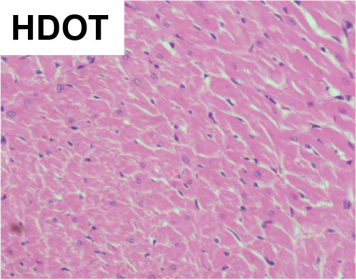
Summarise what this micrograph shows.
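This is heart muscle made of cardiac myocytes seen as pink, branching fibres arranged largely in parallel. Oval purple nuclei sit centrally within the fibres. Thin pale spaces run between the fibres, and small dark nuclei lie scattered among them.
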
